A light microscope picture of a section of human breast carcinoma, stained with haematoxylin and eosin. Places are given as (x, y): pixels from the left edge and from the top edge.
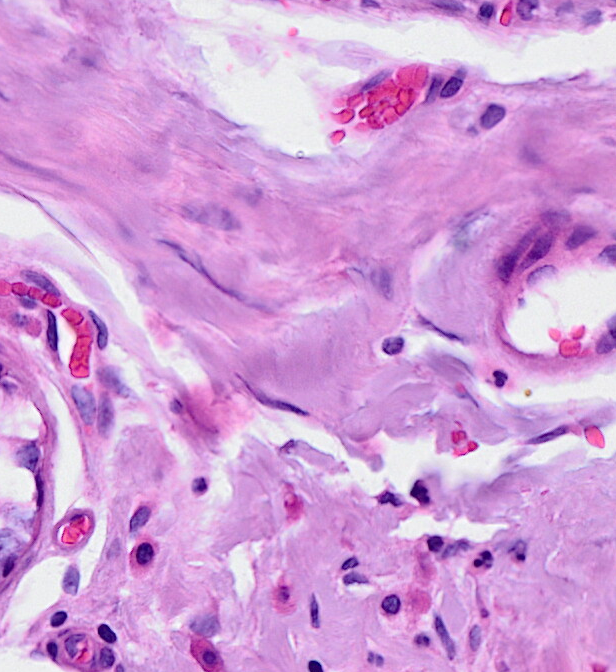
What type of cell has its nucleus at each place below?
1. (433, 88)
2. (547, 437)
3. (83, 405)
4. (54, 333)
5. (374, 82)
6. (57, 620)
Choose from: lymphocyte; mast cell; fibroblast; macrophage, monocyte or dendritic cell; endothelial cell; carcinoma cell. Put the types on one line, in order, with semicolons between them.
endothelial cell; fibroblast; endothelial cell; endothelial cell; endothelial cell; lymphocyte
